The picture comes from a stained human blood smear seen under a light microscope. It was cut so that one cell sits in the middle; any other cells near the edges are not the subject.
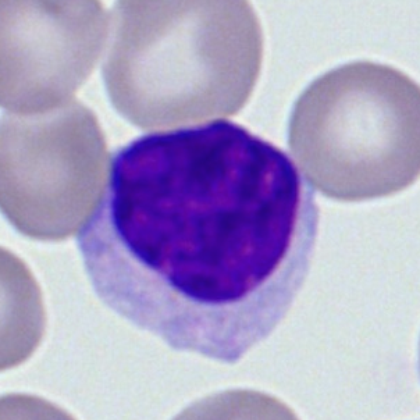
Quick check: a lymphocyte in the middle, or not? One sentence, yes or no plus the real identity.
Yes, the cell lying in the middle is a lymphocyte.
